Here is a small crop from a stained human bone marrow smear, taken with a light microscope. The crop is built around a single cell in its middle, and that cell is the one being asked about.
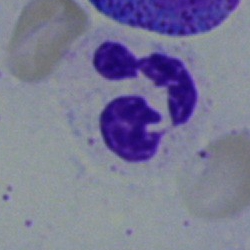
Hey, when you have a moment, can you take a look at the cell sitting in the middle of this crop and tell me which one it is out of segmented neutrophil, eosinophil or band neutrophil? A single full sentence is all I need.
The cell nearest the centre of this crop is a segmented neutrophil.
